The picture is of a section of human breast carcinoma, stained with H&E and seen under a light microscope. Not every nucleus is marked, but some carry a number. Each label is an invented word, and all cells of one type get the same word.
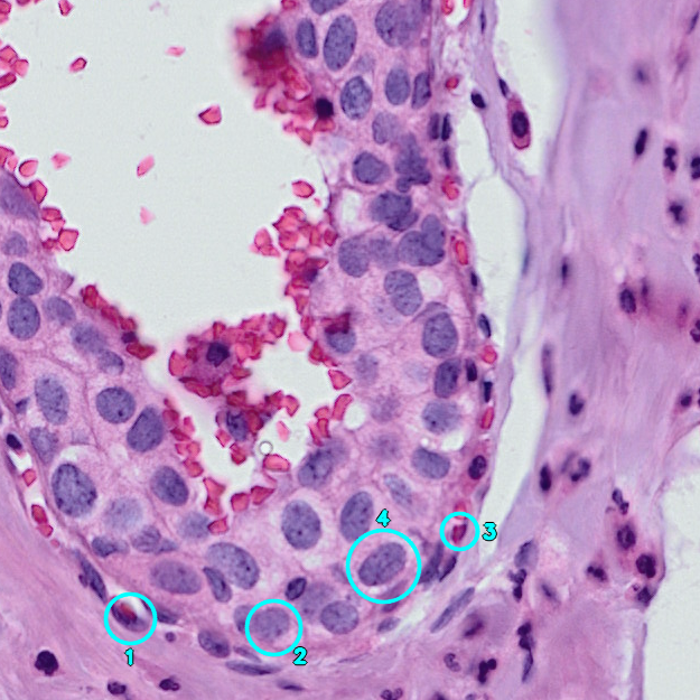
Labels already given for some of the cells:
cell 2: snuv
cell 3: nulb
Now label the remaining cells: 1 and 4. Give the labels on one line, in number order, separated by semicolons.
nulb; snuv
